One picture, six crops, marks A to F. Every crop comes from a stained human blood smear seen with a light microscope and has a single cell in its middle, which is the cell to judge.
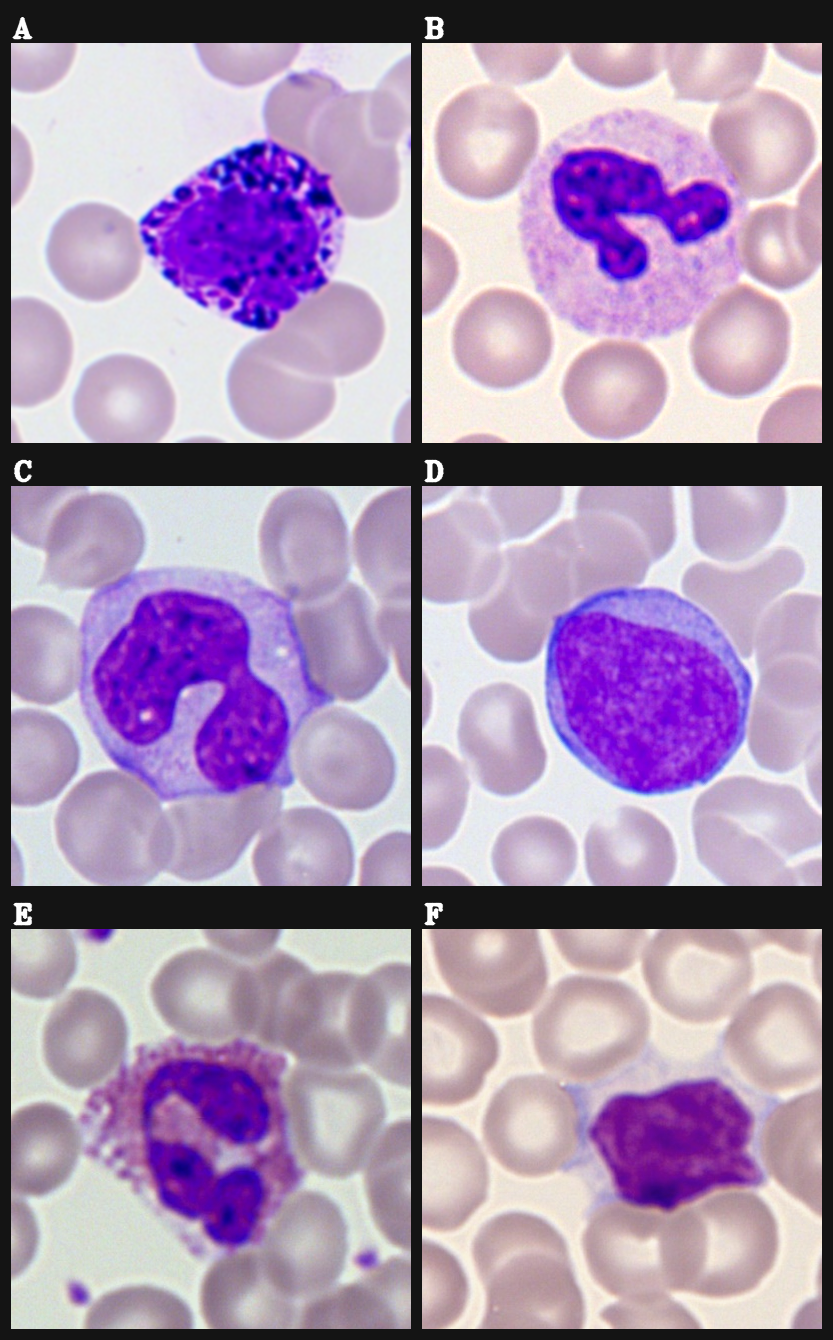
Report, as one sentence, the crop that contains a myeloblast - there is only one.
The one showing a myeloblast is the crop labelled D.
